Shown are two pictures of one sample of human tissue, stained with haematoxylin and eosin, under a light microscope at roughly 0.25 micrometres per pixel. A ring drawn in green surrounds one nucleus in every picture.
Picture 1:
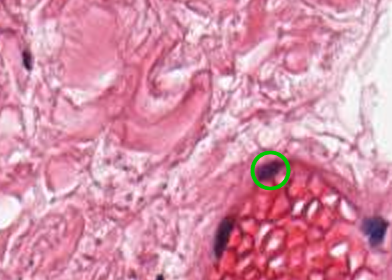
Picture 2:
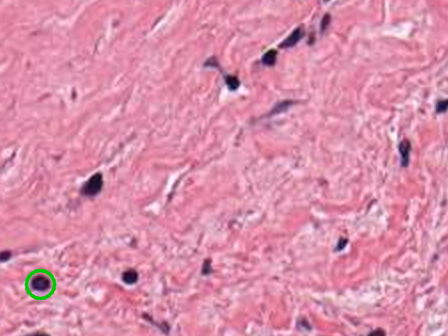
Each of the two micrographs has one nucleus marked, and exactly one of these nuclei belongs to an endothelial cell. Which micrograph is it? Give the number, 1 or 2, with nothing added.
1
